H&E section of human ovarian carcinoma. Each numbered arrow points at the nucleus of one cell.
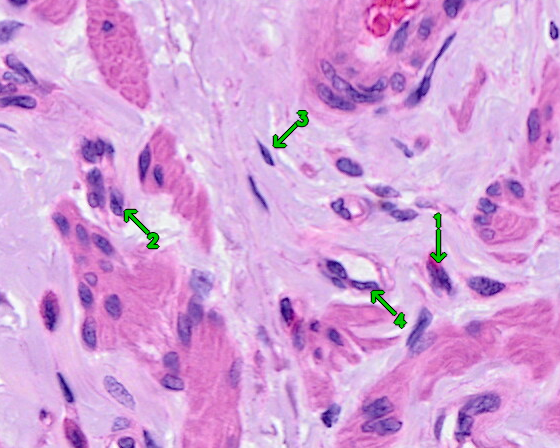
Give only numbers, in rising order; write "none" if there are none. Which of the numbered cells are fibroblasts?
3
